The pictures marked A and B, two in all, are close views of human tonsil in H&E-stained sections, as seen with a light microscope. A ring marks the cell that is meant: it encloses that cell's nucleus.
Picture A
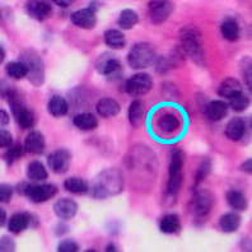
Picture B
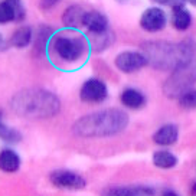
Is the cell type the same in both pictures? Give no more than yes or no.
yes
